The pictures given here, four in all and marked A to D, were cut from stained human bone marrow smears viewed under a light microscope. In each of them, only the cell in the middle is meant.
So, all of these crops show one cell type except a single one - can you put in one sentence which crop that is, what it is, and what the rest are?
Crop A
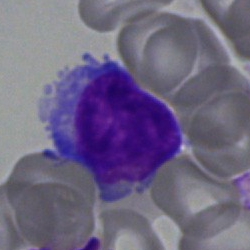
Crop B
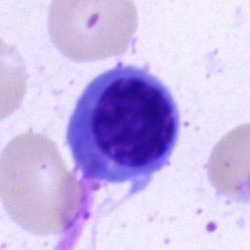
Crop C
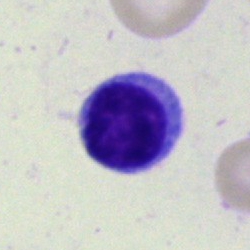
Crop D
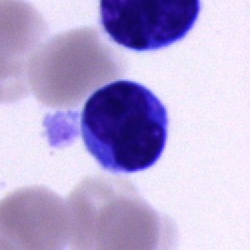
Whereas the other crops all show lymphocytes, crop B shows an erythroblast.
